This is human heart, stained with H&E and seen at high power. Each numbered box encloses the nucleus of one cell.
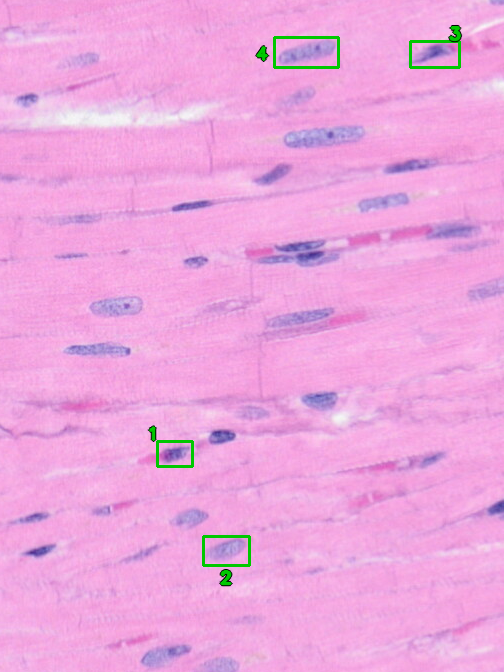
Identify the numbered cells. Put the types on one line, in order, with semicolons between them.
endothelial cell; cardiomyocyte; endothelial cell; cardiomyocyte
